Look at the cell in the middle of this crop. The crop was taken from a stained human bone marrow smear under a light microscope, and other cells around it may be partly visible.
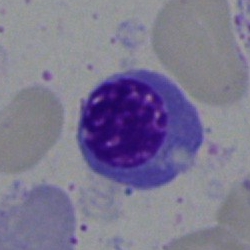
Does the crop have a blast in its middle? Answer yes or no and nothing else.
no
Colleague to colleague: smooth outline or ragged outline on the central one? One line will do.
Smooth all around, the outline has no projections to report.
